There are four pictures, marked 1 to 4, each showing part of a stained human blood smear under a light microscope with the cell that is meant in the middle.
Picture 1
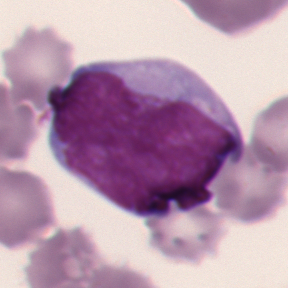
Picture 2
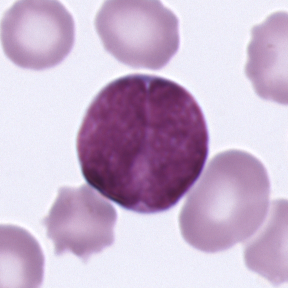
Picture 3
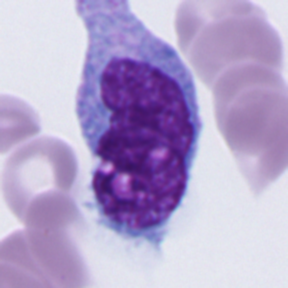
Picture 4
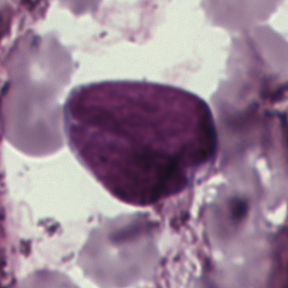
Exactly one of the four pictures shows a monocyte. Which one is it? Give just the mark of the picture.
3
